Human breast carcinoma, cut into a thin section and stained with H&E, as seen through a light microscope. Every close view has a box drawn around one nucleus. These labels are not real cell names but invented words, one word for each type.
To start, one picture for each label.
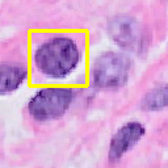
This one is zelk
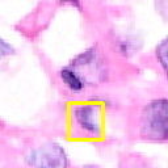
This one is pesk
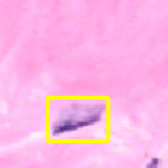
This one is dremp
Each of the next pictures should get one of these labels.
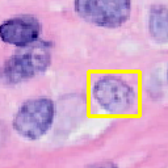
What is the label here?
zelk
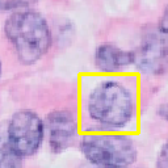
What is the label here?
zelk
